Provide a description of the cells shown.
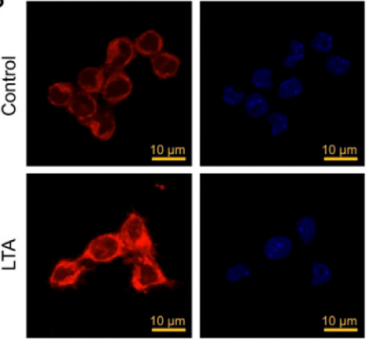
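In the upper row the cells are rounded and the red rims are fairly even and thin. In the lower row the cells are more irregular and spread out, with brighter red staining that reaches into uneven extensions of the cytoplasm.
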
